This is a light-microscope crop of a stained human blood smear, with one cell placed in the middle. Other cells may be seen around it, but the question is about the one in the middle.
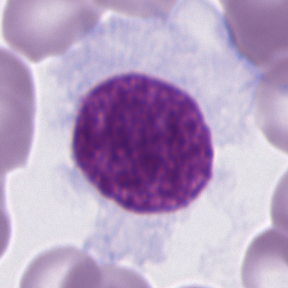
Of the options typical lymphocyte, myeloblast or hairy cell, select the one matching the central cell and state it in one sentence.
What the crop centres on is a hairy cell.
